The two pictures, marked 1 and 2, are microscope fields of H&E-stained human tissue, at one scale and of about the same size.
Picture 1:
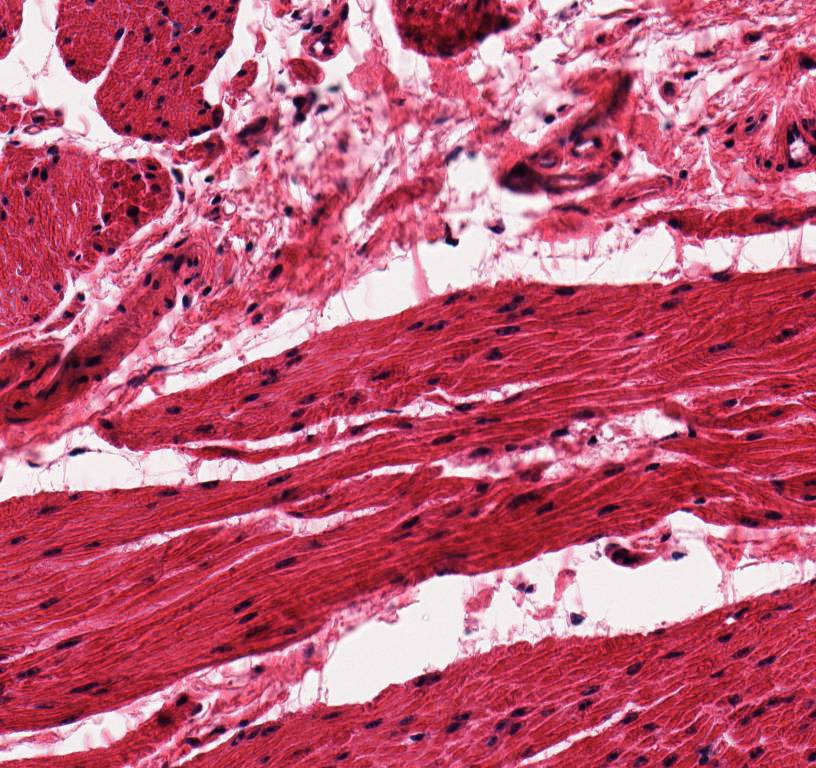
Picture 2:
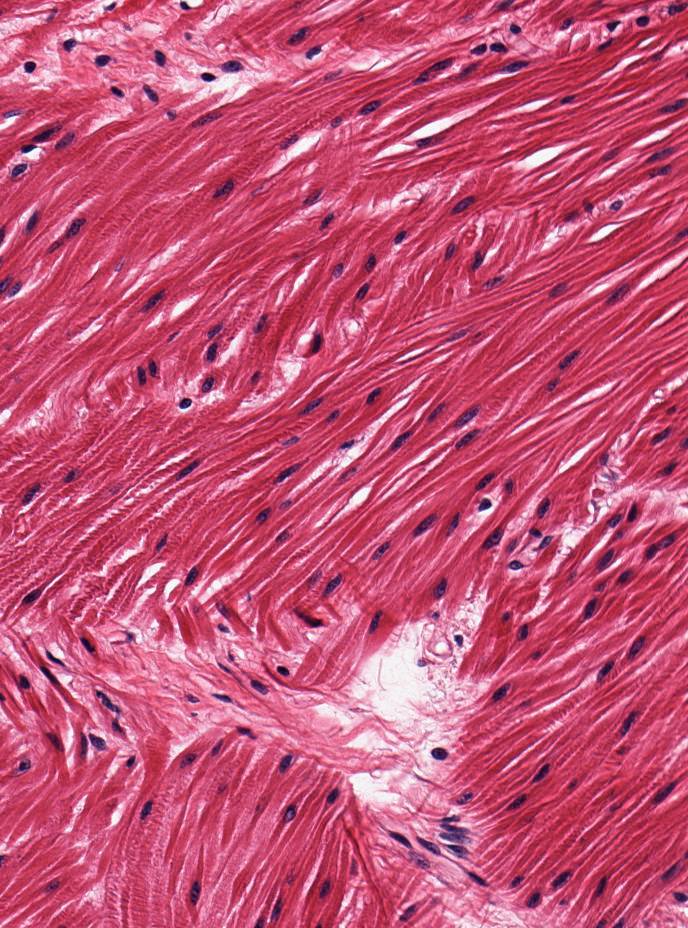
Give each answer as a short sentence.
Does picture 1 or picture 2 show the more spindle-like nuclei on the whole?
It is picture 2 whose nuclei are the more elongated.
